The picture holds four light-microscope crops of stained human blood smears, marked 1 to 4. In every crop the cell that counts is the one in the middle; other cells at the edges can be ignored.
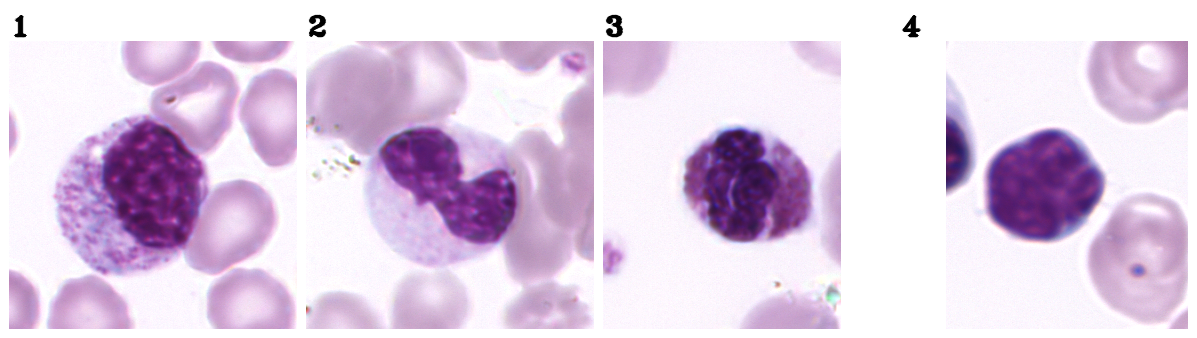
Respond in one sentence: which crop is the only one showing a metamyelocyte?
Crop 1 is the crop that shows a metamyelocyte in its middle.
